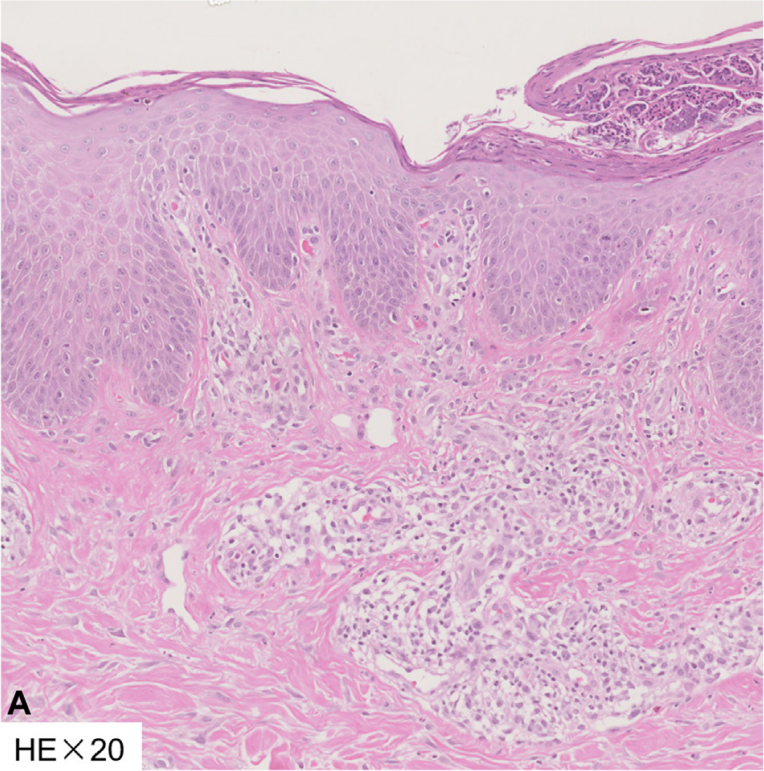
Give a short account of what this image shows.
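Skin with a thickened epidermis showing rete ridges and compact keratin with a crust on the surface, overlying a dermis with an inflammatory infiltrate. Clusters of cells with small dark nuclei lie around small vessels in the upper dermis, set among pink collagen bundles.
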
